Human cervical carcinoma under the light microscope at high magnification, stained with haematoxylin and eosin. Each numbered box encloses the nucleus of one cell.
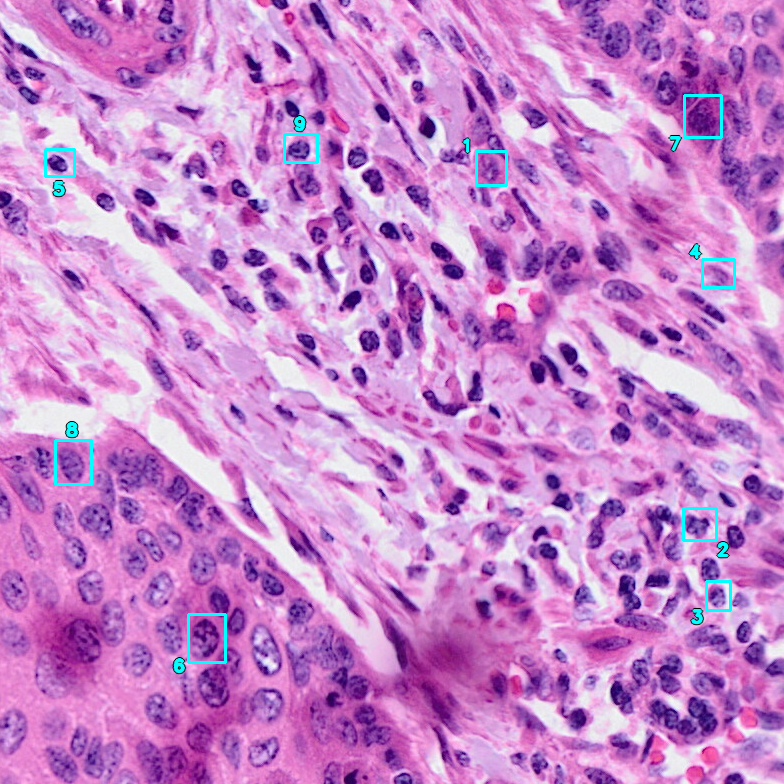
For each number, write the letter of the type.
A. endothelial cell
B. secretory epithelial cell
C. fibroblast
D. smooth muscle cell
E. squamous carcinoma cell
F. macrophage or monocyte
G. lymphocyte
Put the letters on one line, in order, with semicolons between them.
A; G; G; C; G; E; E; E; G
